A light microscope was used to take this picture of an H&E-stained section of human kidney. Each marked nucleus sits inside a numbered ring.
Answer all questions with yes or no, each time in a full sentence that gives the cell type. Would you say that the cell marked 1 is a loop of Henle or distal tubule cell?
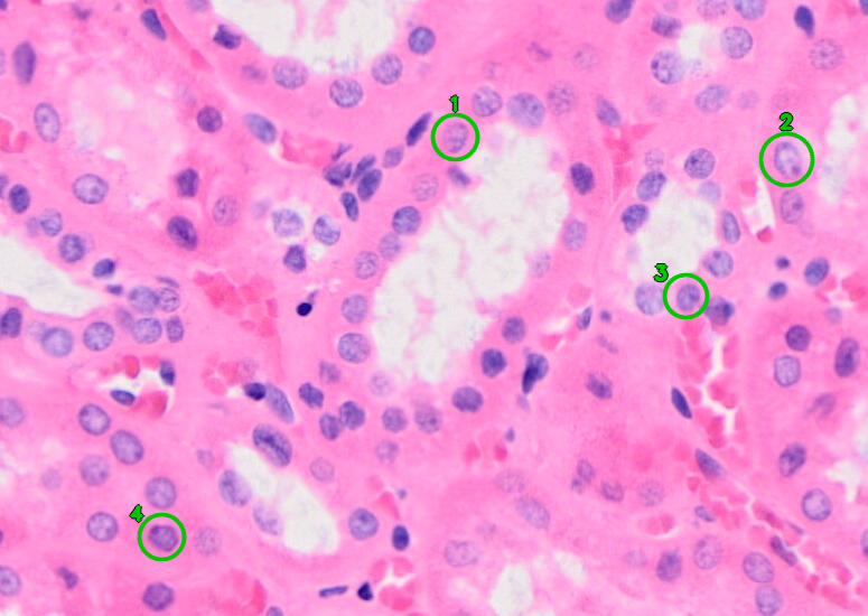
Yes, the cell given number 1 is a loop of Henle or distal tubule cell.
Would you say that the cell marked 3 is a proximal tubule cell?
No, it is a loop of Henle or distal tubule cell that is marked with number 3, not a proximal tubule cell.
